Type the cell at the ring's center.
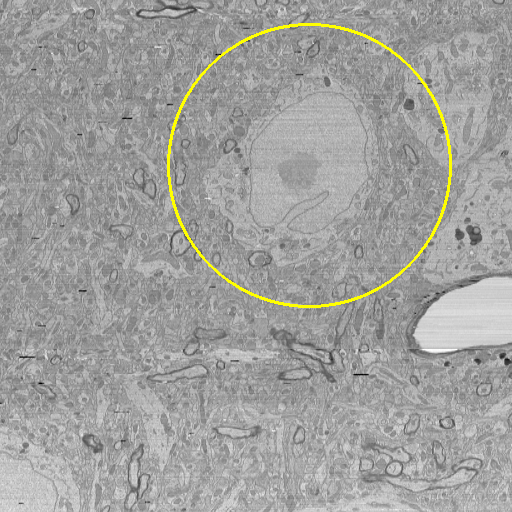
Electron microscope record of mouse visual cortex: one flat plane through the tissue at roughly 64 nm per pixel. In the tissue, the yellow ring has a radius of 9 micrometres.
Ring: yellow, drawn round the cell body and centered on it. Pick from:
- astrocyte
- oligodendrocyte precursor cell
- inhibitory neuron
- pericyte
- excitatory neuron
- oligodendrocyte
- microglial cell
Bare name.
excitatory neuron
